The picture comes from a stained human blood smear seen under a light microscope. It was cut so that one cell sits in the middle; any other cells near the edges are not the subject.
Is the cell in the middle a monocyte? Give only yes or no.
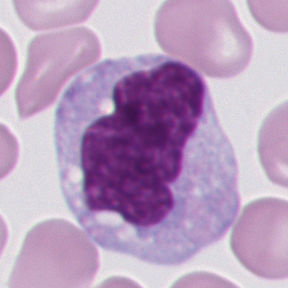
yes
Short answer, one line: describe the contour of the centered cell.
There are no projections here; the outline is simply smooth.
